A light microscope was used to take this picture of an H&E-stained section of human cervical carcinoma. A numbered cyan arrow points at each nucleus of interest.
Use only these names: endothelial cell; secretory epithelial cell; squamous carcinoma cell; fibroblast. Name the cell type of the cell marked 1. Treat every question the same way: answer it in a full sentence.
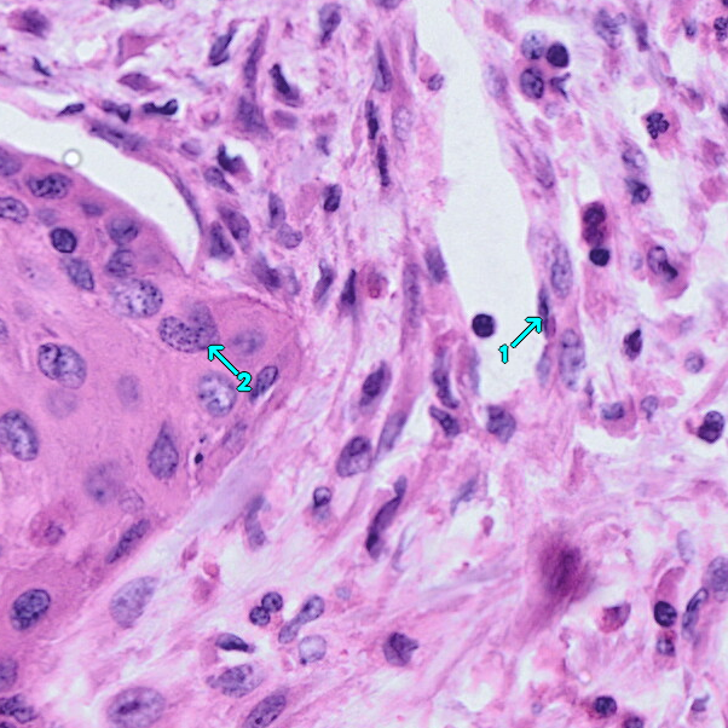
Within this field of view, the cell labelled 1 is an endothelial cell.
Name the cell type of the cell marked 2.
The cell marked with the number 2 is a squamous carcinoma cell.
